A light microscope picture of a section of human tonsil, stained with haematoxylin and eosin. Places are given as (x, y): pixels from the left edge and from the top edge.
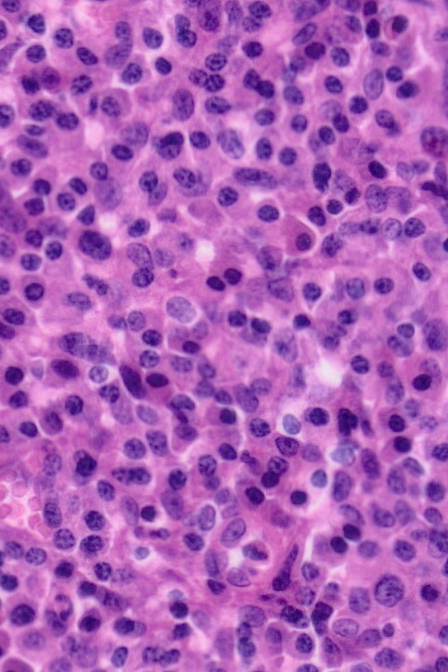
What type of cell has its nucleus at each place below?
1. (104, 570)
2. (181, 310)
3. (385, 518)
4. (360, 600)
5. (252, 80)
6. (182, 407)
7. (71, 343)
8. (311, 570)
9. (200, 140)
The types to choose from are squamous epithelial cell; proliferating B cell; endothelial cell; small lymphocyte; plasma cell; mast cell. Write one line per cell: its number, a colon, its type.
1: plasma cell
2: squamous epithelial cell
3: plasma cell
4: squamous epithelial cell
5: plasma cell
6: squamous epithelial cell
7: squamous epithelial cell
8: plasma cell
9: plasma cell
